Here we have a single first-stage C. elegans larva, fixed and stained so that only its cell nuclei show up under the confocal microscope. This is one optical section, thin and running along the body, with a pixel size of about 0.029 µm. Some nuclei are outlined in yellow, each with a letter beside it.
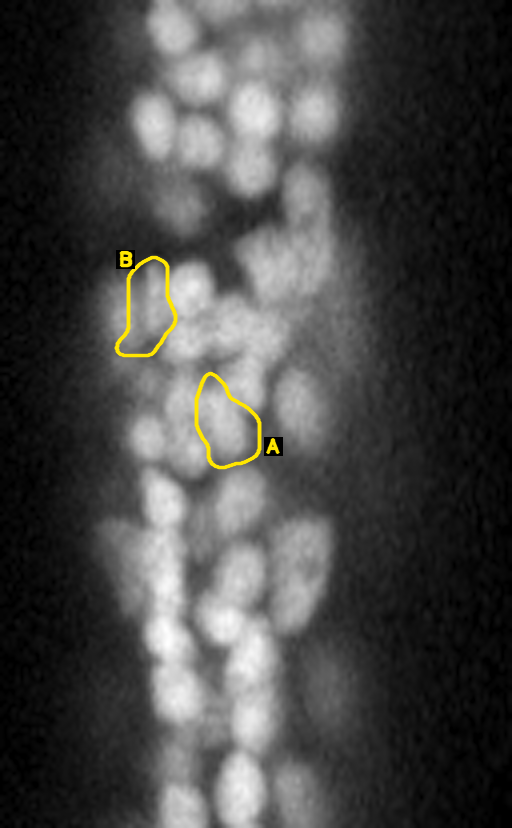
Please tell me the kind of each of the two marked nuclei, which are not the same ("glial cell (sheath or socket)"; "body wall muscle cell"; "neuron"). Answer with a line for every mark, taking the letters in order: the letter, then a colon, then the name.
A: neuron
B: glial cell (sheath or socket)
